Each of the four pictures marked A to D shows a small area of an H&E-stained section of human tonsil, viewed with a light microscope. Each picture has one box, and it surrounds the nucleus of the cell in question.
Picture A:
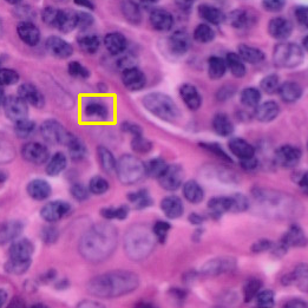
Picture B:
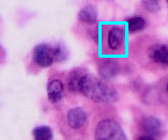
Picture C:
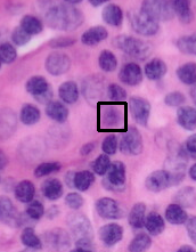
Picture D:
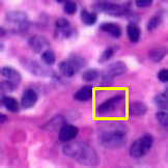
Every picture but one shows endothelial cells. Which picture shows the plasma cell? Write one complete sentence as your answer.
The plasma cell is the one in picture B.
